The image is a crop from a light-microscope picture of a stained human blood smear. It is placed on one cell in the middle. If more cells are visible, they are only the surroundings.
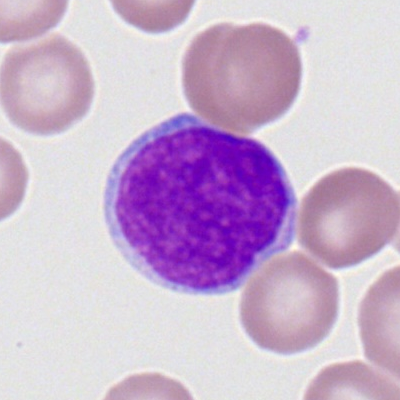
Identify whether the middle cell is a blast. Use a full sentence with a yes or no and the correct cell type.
Yes, the centred cell is categorised as a blast.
